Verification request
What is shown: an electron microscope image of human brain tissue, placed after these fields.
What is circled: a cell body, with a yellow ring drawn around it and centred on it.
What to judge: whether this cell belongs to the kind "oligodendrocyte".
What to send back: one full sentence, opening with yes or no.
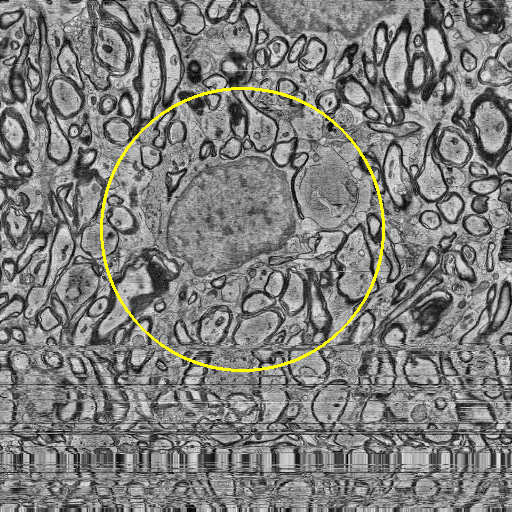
Yes, the cell on which the yellow ring is centred in the picture is of that kind.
